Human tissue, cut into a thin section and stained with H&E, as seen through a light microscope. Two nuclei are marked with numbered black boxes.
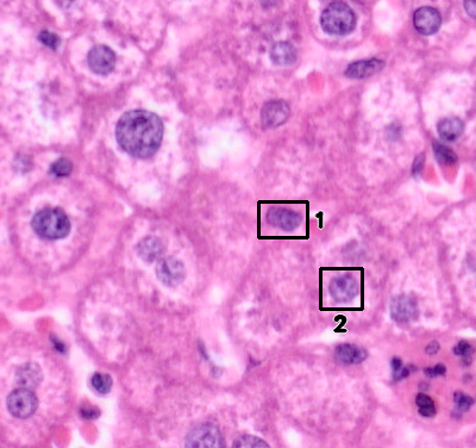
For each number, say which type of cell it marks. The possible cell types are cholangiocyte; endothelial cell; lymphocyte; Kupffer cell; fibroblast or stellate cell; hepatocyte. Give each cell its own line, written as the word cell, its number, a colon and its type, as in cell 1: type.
cell 1: Kupffer cell
cell 2: hepatocyte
